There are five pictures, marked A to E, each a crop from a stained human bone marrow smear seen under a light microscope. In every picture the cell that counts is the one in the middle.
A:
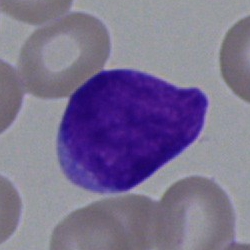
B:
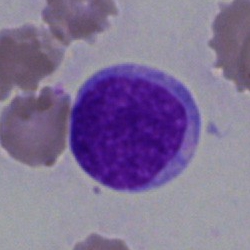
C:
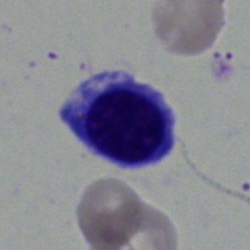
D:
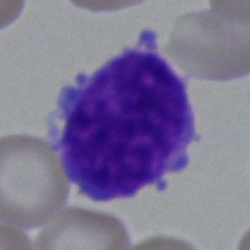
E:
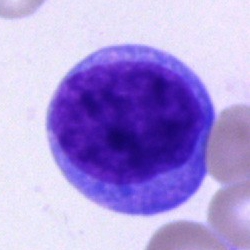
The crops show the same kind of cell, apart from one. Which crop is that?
C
